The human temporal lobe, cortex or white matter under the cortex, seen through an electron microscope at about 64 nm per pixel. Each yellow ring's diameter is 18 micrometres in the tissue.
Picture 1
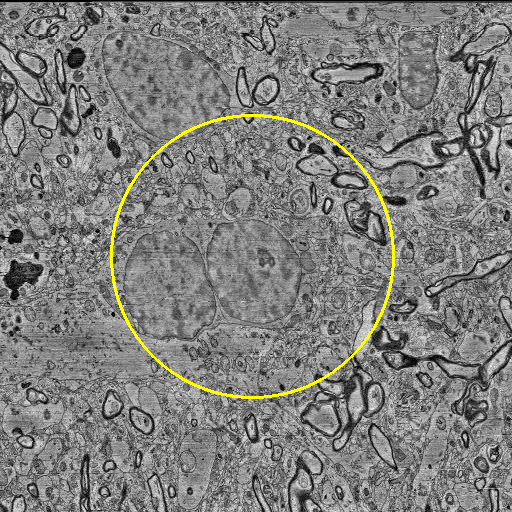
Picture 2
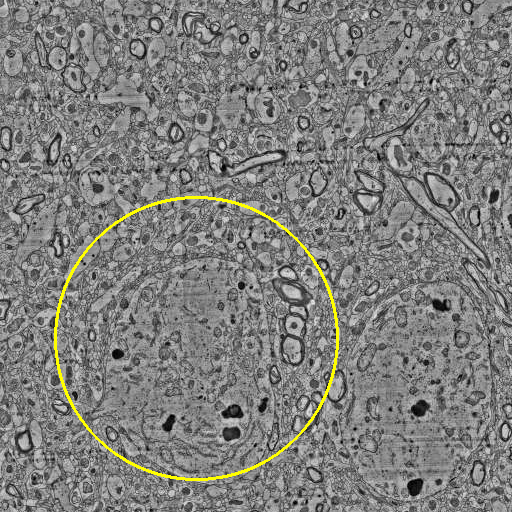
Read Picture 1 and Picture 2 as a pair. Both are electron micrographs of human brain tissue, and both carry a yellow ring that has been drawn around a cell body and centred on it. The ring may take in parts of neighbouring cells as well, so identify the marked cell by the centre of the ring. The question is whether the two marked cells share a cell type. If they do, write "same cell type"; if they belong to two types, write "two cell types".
two cell types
